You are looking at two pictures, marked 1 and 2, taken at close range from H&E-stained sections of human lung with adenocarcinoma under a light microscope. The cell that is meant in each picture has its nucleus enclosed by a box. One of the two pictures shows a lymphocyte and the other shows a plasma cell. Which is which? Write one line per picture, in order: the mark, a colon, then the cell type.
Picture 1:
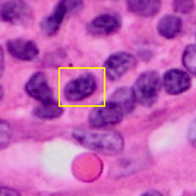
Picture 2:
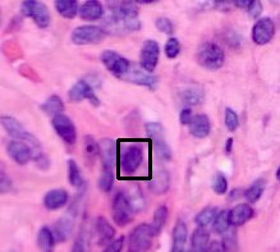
1: lymphocyte
2: plasma cell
